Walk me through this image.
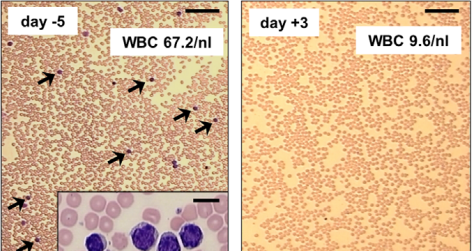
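These are blood smears in which a dense carpet of small, pale pink-orange red cells covers the field, with nucleated white cells standing out in purple. The inset enlarges a small group of these cells: they are round, with large, dense, dark purple nuclei that fill nearly the whole cell and leave only a thin rim of cytoplasm. They are only a little larger than the surrounding red cells, which are pale, round discs without nuclei. In the right smear the red cells are just as dense, but nucleated purple cells are hardly to be found.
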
